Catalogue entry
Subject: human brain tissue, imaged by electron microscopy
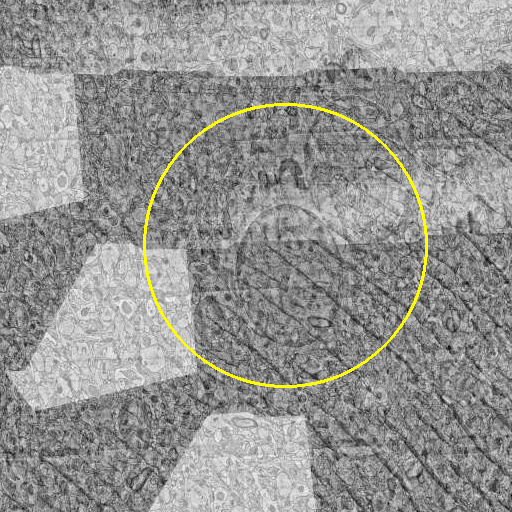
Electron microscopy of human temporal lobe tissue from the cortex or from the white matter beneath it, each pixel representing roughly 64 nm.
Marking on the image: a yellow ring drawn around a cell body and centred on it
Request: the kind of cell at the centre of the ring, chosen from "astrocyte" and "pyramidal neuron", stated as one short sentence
The ring has an astrocyte at its centre.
